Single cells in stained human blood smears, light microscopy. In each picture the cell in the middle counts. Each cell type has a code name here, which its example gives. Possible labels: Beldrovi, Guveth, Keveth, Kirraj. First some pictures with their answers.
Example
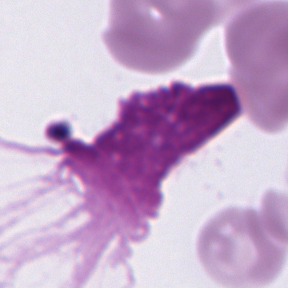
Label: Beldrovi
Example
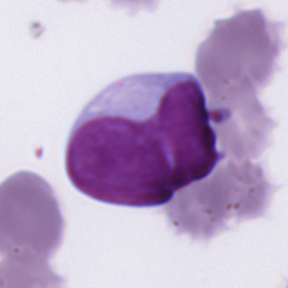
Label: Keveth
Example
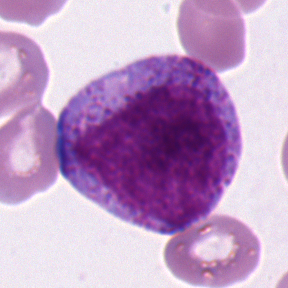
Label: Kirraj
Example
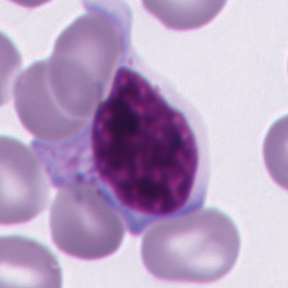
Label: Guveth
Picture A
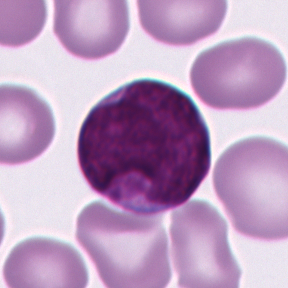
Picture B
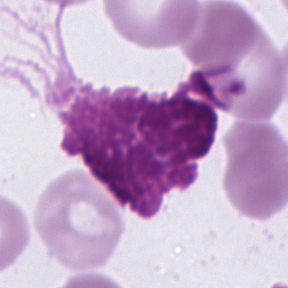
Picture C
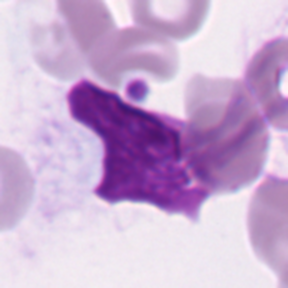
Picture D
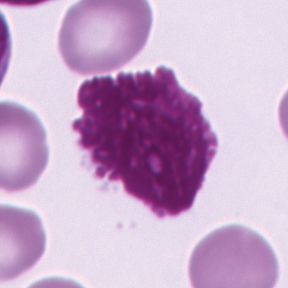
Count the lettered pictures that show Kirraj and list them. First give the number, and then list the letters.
0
